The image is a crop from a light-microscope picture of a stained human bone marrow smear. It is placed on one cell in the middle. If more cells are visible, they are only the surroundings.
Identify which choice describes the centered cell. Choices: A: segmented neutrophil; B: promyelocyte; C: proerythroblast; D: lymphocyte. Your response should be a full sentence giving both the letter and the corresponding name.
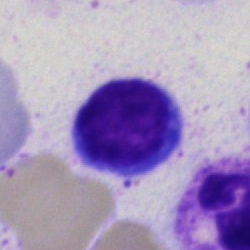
The correct option, D, names the middle cell as a lymphocyte.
